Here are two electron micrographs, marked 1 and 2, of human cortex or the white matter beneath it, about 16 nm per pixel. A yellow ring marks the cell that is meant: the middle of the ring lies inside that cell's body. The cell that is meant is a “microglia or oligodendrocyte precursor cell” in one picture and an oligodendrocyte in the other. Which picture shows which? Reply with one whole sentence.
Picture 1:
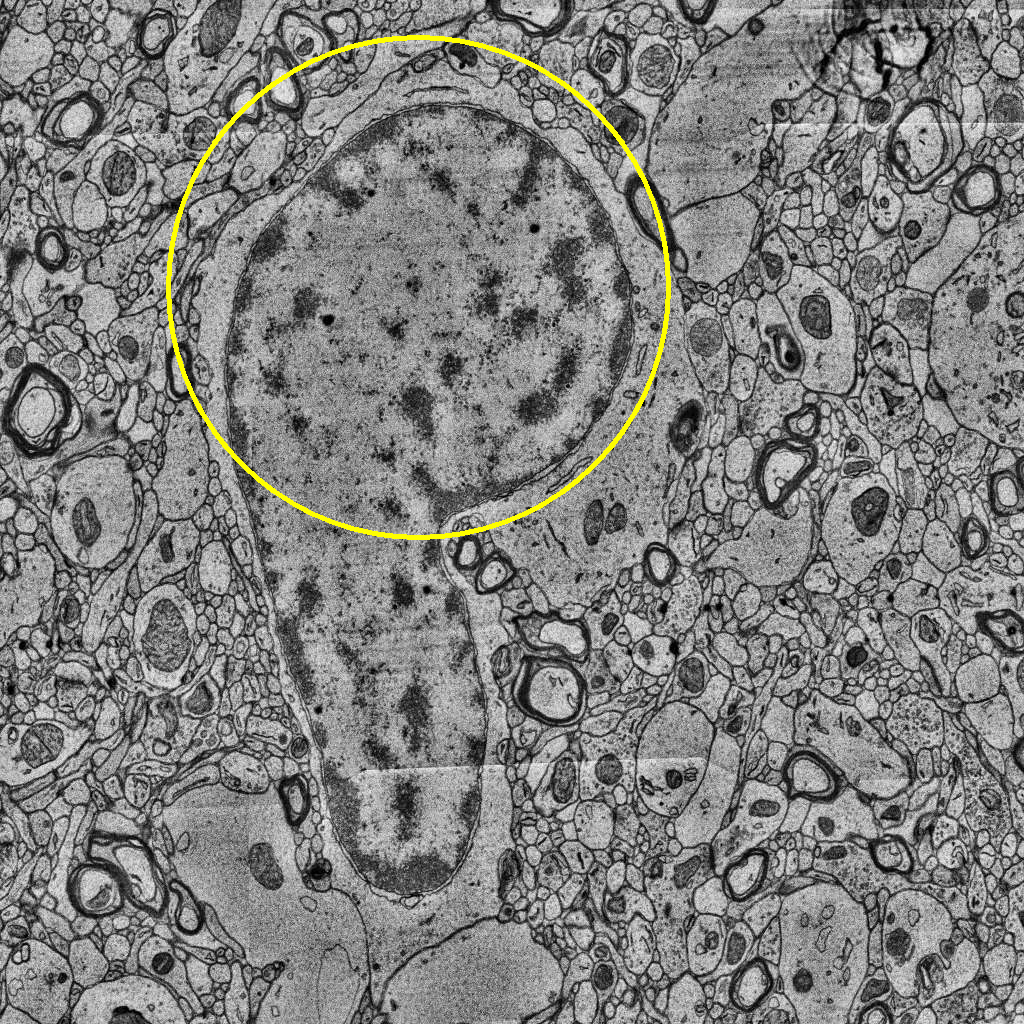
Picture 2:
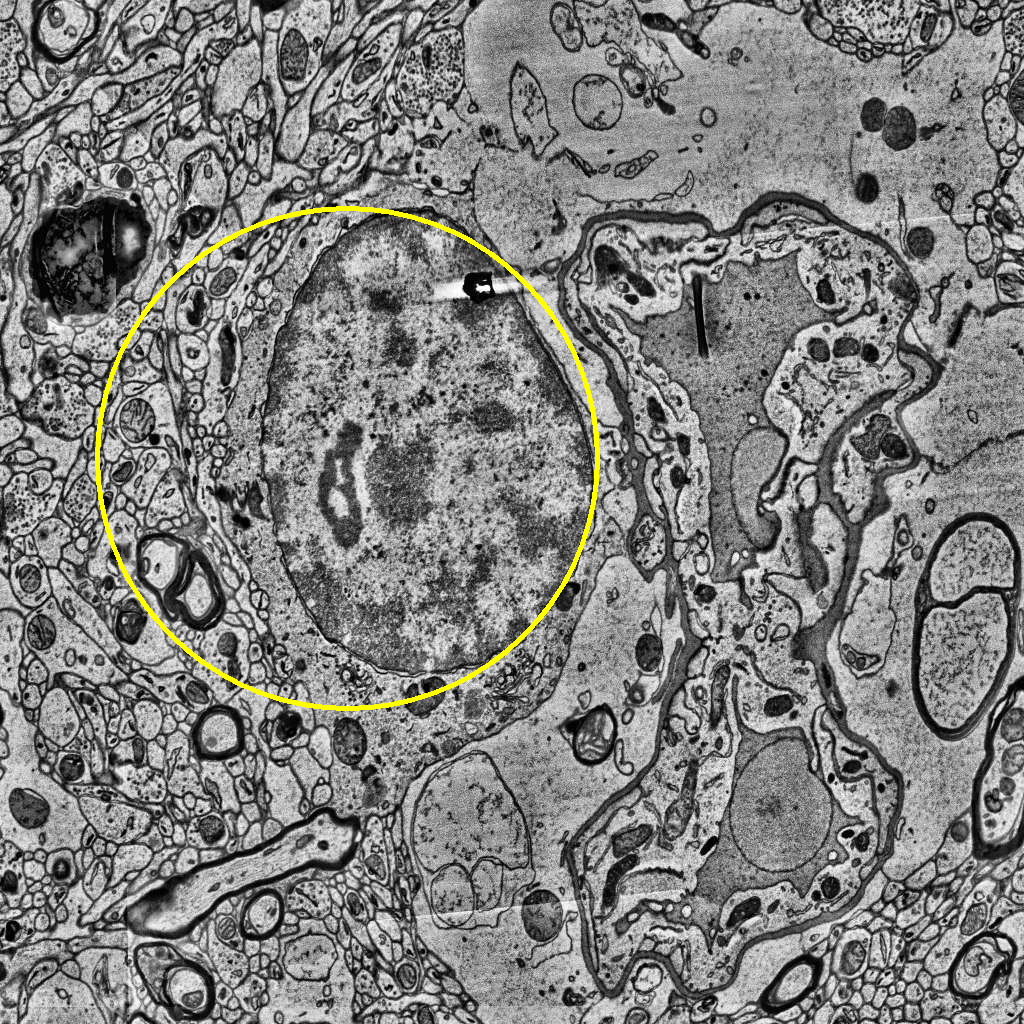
It is picture 1 that shows a “microglia or oligodendrocyte precursor cell”, and picture 2 that shows an oligodendrocyte.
